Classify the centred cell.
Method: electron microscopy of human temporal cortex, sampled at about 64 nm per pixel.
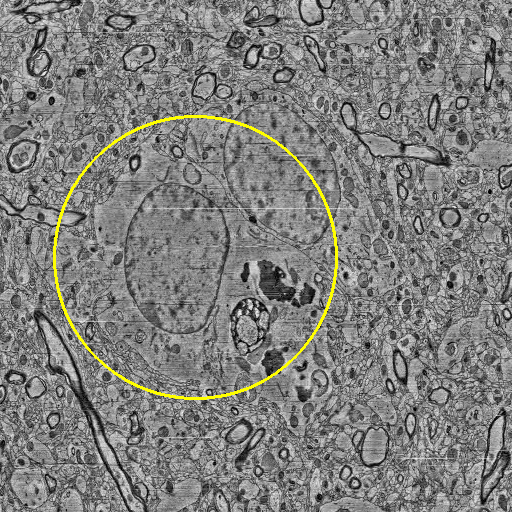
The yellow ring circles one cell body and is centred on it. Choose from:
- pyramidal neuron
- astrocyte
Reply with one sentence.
The ring is centred on an astrocyte.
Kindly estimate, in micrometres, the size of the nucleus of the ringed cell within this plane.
In this plane the nucleus is about 10 micrometres by 7.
